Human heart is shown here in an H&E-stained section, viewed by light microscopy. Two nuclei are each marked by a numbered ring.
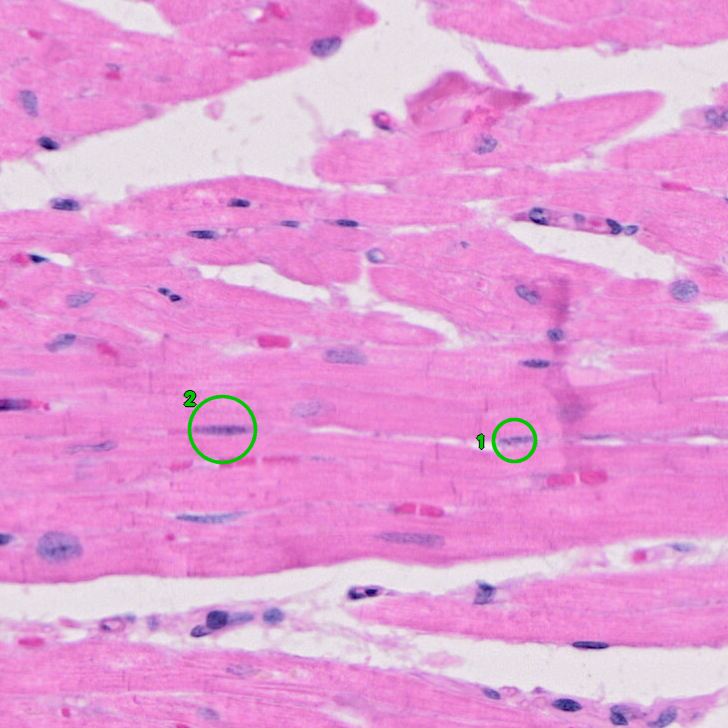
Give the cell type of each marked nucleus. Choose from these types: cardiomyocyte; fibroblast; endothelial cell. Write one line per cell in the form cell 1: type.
cell 1: fibroblast
cell 2: endothelial cell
